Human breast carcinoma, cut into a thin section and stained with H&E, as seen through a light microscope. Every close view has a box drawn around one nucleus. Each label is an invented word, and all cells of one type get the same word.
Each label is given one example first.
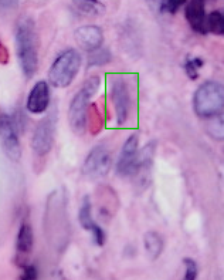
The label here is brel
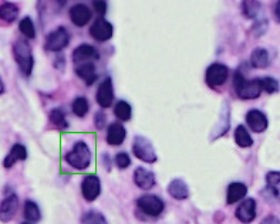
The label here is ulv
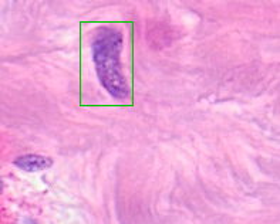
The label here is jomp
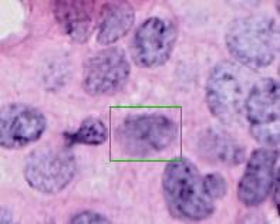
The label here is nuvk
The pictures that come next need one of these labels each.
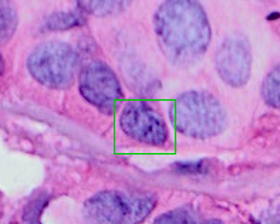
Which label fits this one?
nuvk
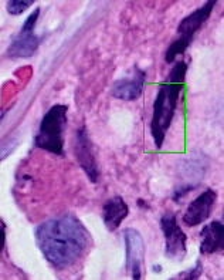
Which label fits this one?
nuvk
